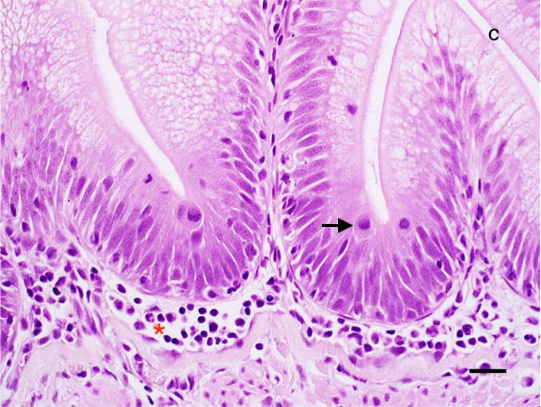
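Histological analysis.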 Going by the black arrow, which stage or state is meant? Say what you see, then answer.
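The arrow points to a dark, condensed nuclear body near the apical side of the nuclear row. It is darker and more compact than the neighbouring elongated epithelial nuclei.
Answer: mitotic figures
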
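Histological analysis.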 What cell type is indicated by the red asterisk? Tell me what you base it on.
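Inflammatory cells. The asterisk lies in a band of many small round cells with dark round nuclei beneath the epithelium. These cells are densely packed in the loose connective tissue under the fold bases.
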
